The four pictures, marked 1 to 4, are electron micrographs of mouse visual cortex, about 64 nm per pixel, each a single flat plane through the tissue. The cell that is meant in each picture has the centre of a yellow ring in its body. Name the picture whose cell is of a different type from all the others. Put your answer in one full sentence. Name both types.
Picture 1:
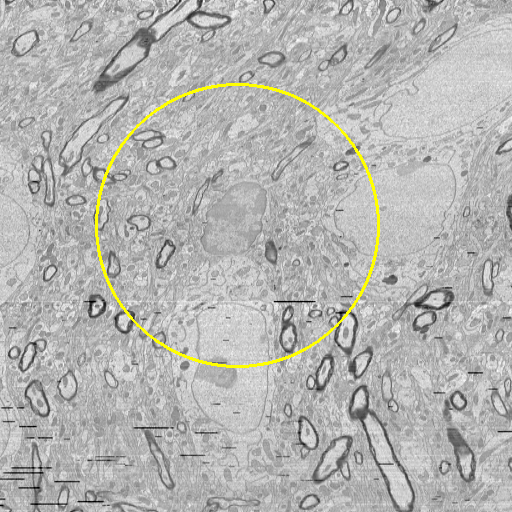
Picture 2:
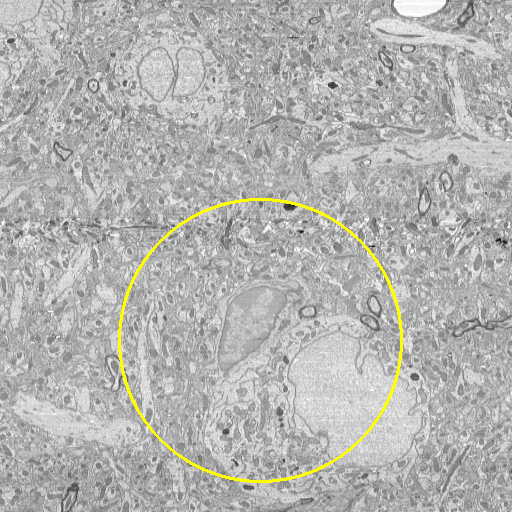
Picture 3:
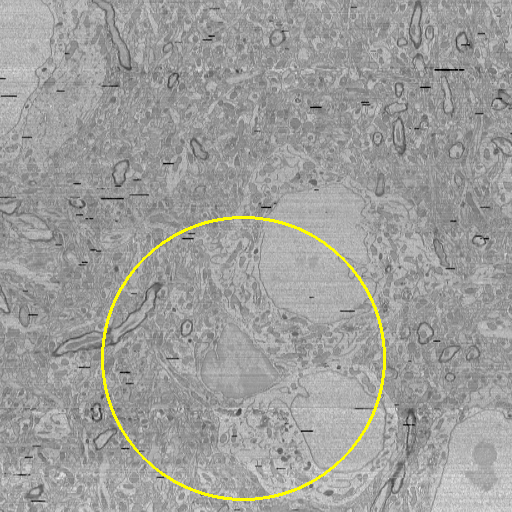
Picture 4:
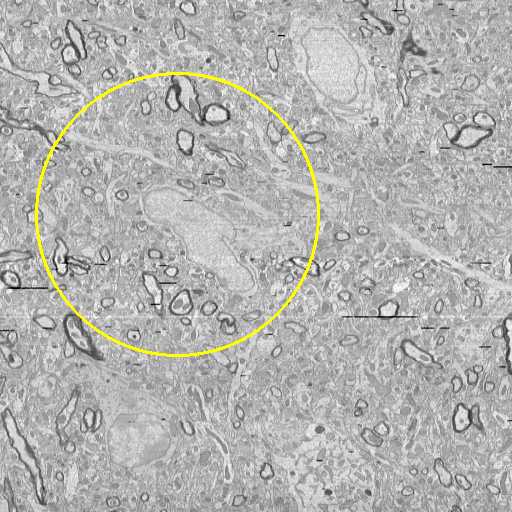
The different one is picture 4; it shows an oligodendrocyte precursor cell, whereas all the others show microglial cells.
